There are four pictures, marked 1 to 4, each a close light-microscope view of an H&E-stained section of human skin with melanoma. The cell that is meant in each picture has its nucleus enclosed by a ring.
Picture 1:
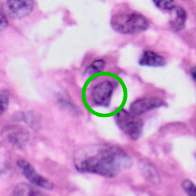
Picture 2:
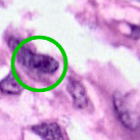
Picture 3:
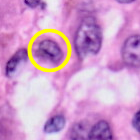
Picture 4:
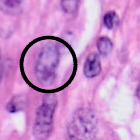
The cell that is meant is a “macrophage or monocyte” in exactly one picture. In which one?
3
